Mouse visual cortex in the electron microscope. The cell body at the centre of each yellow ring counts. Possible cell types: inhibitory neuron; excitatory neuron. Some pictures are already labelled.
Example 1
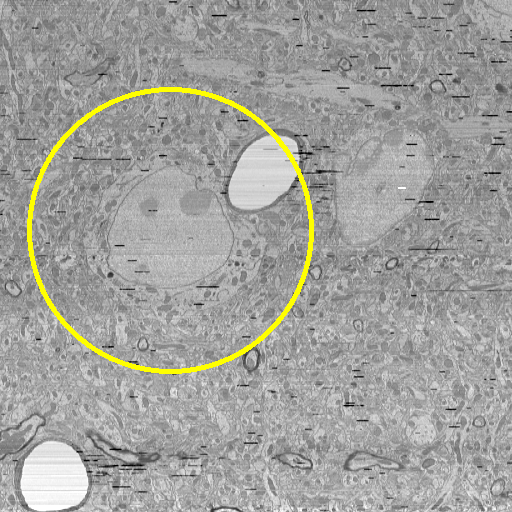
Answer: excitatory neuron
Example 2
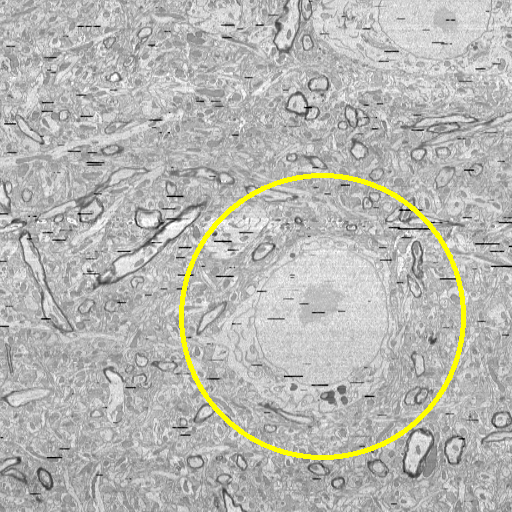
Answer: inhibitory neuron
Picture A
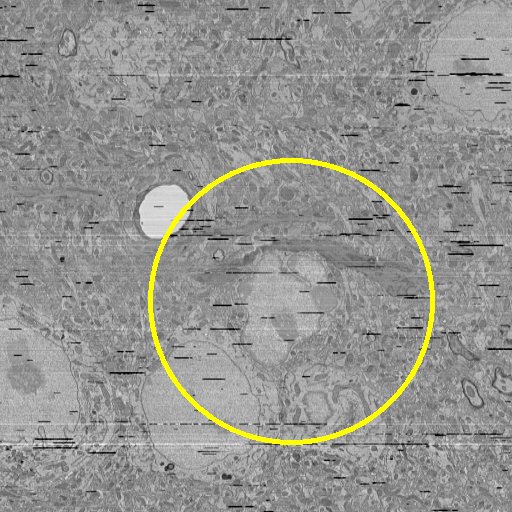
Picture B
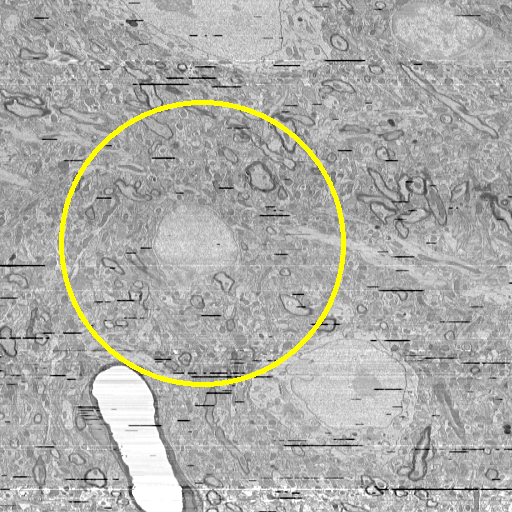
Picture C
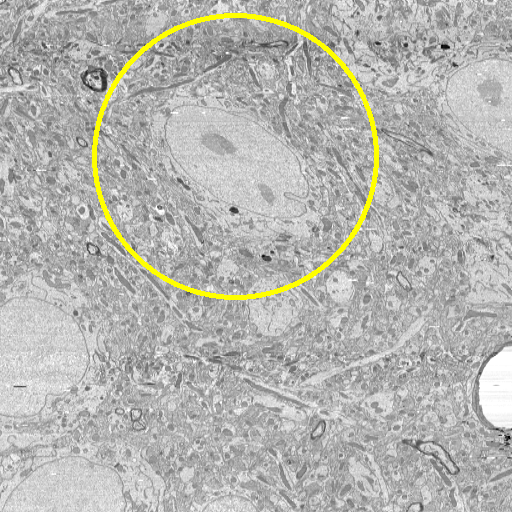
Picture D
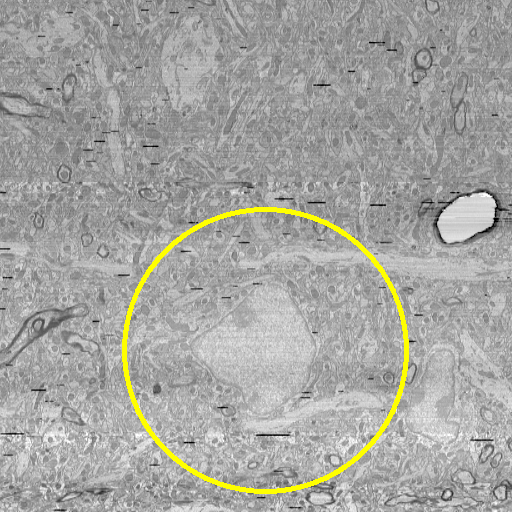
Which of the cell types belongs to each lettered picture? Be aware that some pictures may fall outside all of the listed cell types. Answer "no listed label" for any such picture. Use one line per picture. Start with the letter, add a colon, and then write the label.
A: no listed label
B: no listed label
C: excitatory neuron
D: no listed label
